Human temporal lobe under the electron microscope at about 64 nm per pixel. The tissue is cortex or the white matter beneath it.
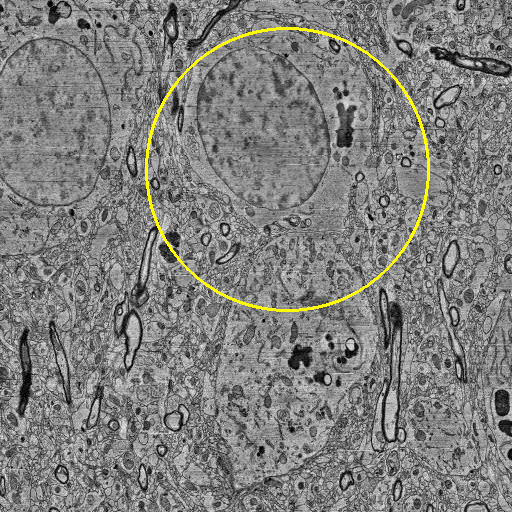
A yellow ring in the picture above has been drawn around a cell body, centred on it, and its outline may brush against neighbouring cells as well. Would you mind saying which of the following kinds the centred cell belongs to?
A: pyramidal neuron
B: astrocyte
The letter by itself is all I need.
B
